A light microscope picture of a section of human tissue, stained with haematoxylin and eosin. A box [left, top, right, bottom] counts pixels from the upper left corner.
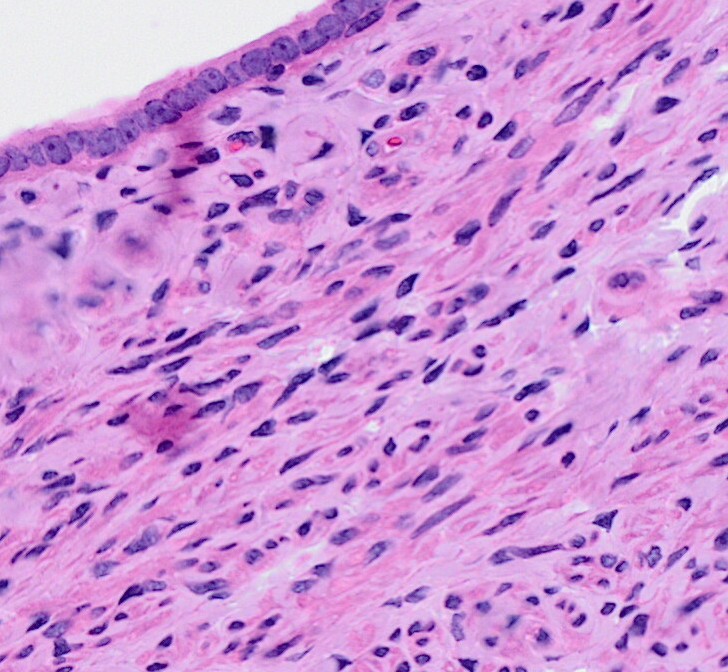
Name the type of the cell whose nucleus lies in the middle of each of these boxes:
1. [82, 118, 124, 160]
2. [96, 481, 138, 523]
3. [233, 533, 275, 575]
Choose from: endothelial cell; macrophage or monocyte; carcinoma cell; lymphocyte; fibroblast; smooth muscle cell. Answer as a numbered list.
1. carcinoma cell
2. smooth muscle cell
3. smooth muscle cell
